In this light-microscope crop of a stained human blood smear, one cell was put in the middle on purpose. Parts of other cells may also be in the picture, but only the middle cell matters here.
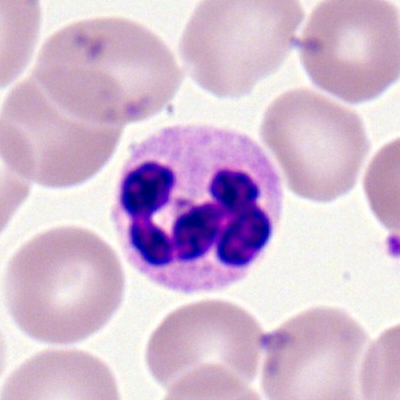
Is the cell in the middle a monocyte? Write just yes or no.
no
